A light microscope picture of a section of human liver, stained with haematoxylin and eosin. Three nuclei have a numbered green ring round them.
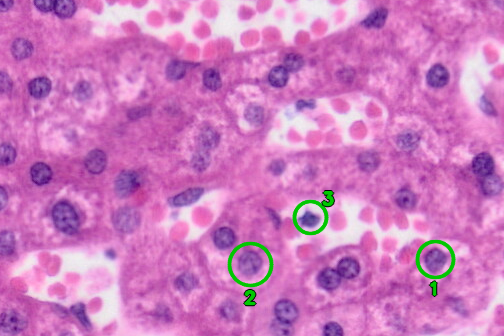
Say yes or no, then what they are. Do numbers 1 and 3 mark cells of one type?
No, mate, cell 1 is a hepatocyte and cell 3 is a lymphocyte.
